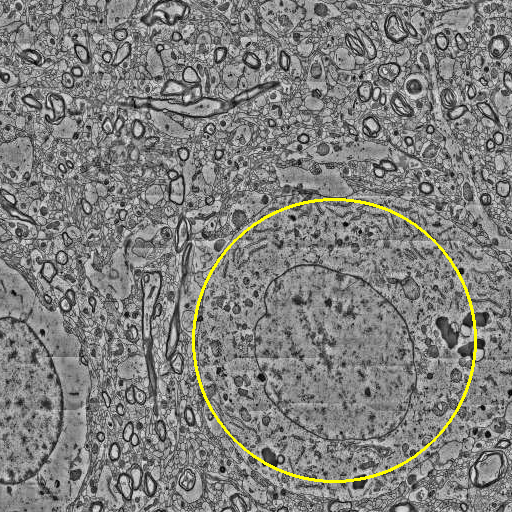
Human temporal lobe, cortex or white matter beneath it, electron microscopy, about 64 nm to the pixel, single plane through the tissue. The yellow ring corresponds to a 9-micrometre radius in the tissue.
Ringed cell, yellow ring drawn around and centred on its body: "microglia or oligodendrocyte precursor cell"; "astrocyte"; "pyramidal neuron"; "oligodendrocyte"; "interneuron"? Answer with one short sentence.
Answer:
This ringed cell is a pyramidal neuron.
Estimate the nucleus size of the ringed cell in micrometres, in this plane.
About 13 by 10 micrometers for the nucleus, in this plane.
